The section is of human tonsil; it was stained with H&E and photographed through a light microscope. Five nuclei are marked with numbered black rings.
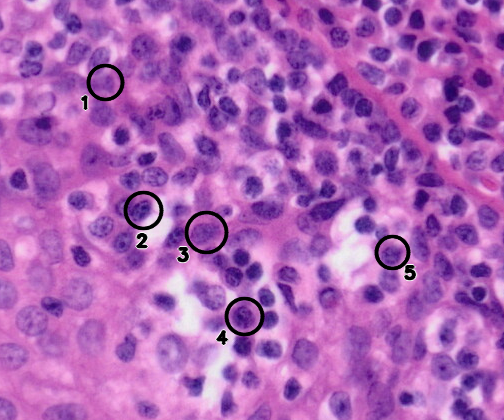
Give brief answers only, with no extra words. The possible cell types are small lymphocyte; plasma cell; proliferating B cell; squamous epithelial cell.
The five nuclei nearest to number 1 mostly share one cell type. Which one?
squamous epithelial cell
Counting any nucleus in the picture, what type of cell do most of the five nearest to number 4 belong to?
plasma cell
